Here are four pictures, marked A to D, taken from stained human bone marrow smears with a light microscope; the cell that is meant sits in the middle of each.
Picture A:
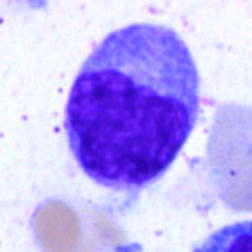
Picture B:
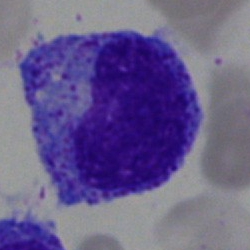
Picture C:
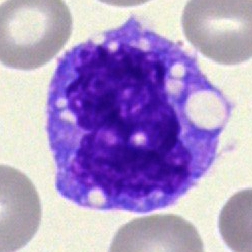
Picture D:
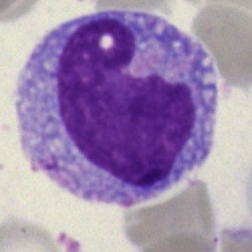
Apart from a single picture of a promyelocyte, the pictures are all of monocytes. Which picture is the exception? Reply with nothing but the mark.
B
